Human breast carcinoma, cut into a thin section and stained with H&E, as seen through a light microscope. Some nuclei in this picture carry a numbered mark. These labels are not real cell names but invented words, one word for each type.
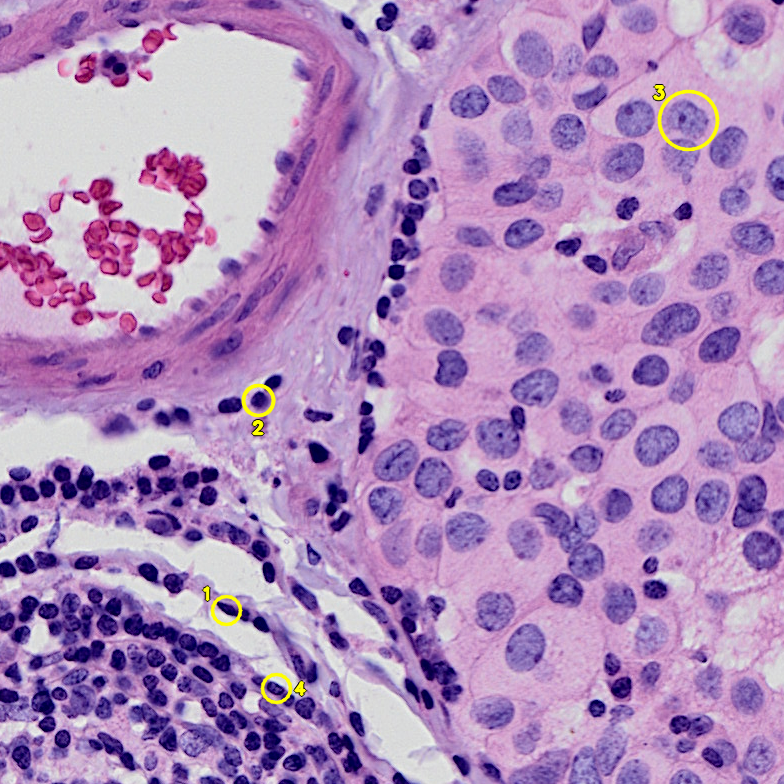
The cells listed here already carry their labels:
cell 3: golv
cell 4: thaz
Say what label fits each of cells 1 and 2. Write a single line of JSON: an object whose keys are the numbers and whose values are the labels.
{"1": "thaz", "2": "thaz"}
